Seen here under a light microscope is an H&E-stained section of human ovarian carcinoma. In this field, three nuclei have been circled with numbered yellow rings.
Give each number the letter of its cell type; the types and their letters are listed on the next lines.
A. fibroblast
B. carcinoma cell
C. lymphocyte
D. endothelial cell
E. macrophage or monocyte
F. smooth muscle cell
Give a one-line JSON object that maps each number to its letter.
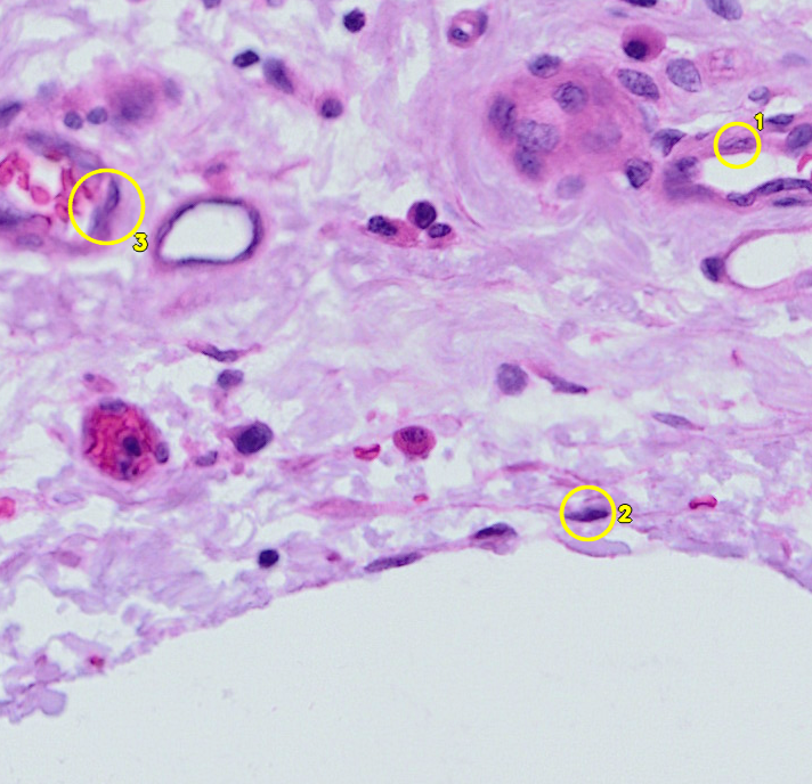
{"1": "D", "2": "A", "3": "D"}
